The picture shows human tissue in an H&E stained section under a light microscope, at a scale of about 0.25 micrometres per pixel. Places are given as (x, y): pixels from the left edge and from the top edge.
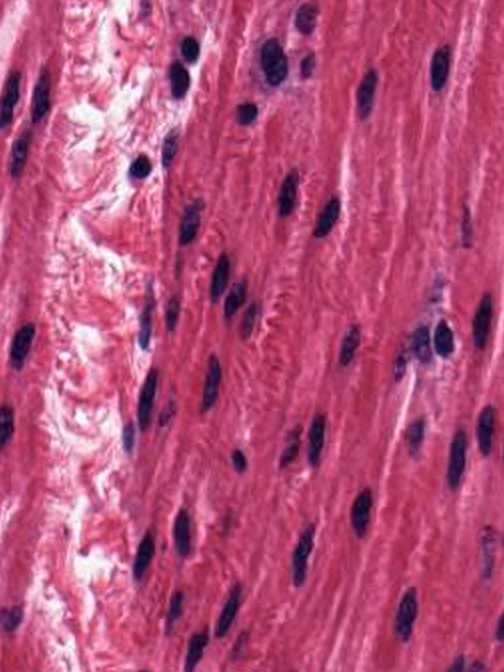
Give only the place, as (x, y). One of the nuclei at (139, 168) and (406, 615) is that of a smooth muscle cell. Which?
(406, 615)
